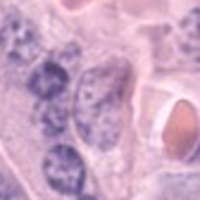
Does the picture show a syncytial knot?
No, it shows a cytotrophoblast.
